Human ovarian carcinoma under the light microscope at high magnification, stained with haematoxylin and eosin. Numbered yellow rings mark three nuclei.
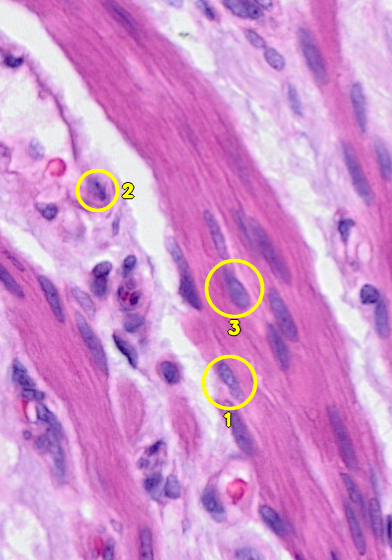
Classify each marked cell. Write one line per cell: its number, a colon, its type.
1: smooth muscle cell
2: endothelial cell
3: smooth muscle cell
